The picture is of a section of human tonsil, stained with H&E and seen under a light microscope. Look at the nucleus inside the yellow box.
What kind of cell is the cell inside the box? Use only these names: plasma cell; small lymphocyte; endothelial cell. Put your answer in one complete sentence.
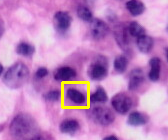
The expected answer is simply that the cell inside the box is a plasma cell.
